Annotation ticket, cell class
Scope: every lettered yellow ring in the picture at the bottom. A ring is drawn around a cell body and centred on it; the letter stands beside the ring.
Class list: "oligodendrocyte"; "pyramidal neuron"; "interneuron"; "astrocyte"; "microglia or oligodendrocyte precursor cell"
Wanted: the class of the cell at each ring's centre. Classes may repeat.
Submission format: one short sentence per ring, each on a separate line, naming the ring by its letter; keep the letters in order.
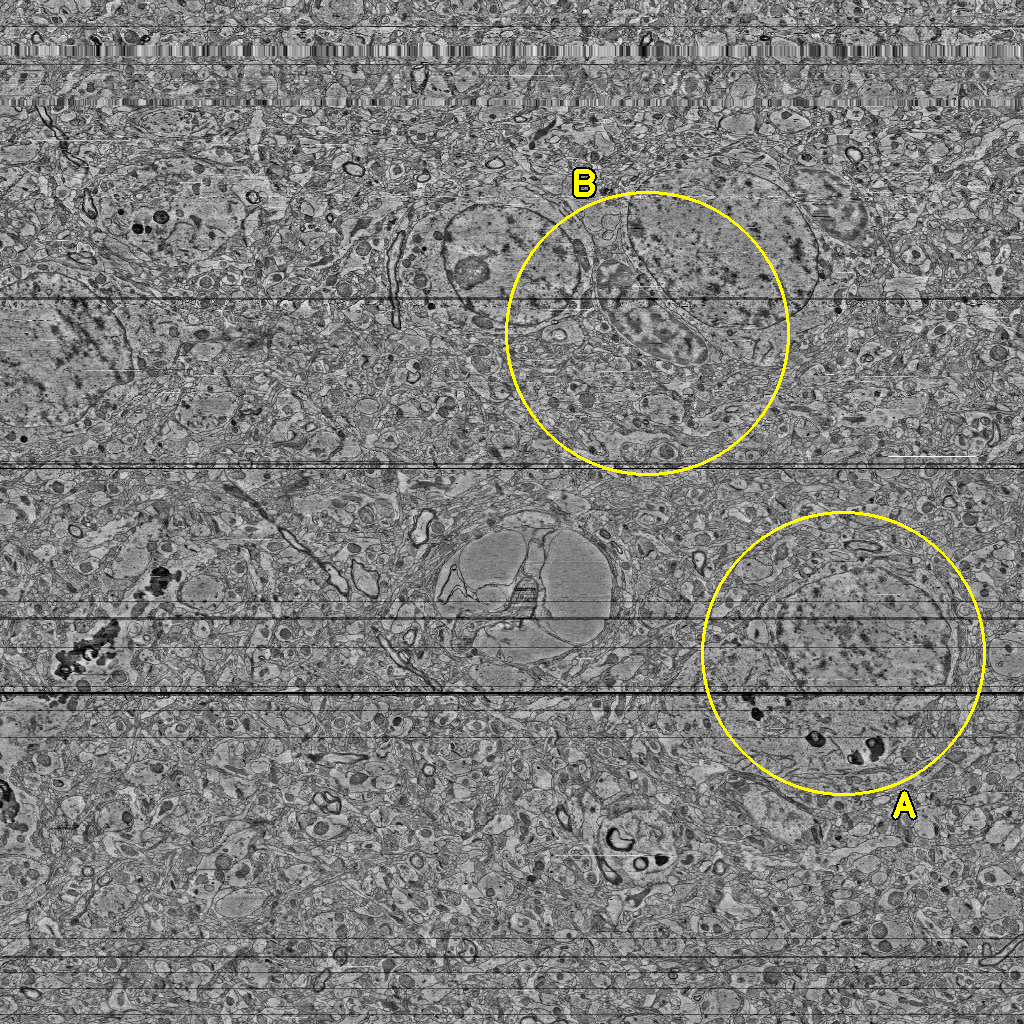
The centre of ring A is occupied by an interneuron.
The centre of ring B is occupied by a microglial cell or oligodendrocyte precursor cell.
